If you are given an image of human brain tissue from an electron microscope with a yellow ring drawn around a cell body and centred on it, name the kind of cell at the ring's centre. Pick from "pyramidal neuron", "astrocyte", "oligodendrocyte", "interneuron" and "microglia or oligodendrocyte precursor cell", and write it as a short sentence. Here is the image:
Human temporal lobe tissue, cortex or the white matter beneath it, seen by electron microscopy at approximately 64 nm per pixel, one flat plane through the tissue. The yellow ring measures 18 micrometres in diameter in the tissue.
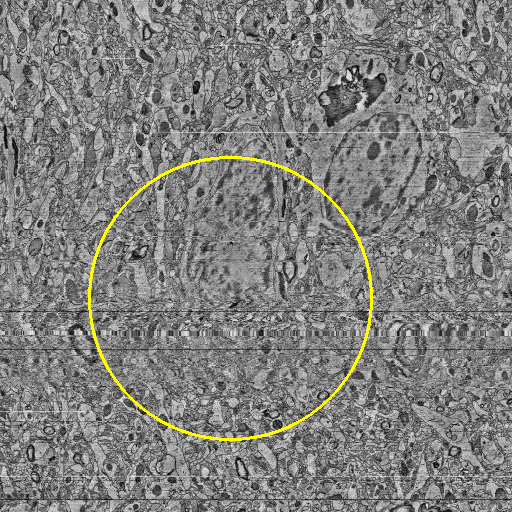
The cell at the ring's centre is an interneuron.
